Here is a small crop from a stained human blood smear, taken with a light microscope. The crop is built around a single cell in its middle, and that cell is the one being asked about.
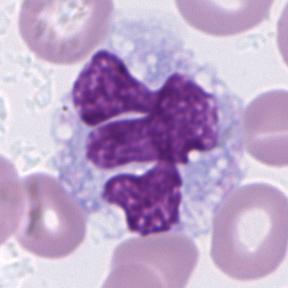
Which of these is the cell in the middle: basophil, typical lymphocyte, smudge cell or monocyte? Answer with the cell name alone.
monocyte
